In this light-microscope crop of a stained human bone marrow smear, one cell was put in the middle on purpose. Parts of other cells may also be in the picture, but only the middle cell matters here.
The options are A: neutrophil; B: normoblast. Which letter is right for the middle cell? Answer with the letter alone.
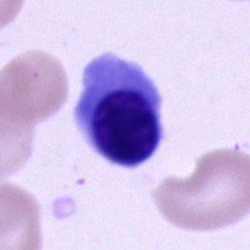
B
